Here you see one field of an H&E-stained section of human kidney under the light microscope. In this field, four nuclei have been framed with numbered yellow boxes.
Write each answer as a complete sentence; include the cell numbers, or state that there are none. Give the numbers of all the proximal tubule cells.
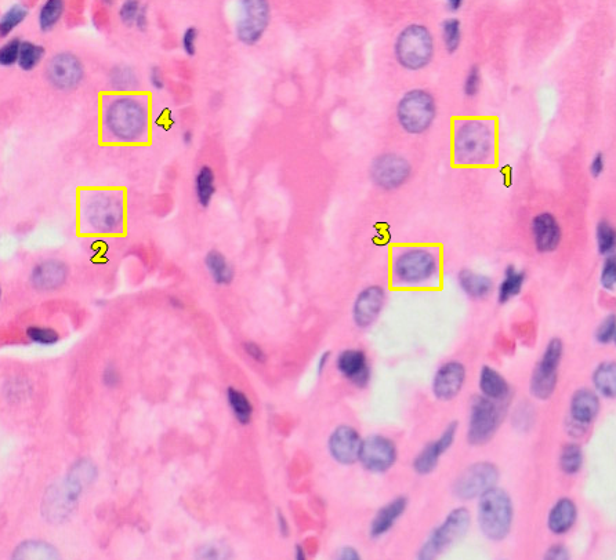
The numbers 1, 2 and 4 in this section indicate proximal tubule cells.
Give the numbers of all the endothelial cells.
The count of endothelial cells among the numbered cells is zero.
